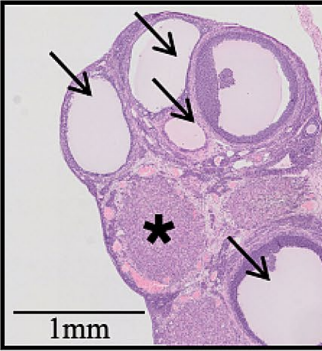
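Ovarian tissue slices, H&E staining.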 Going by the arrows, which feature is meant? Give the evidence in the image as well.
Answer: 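Several large round cavities filled with pale, nearly clear fluid. The cavities crowd much of the ovary section.
Cystic follicles.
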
